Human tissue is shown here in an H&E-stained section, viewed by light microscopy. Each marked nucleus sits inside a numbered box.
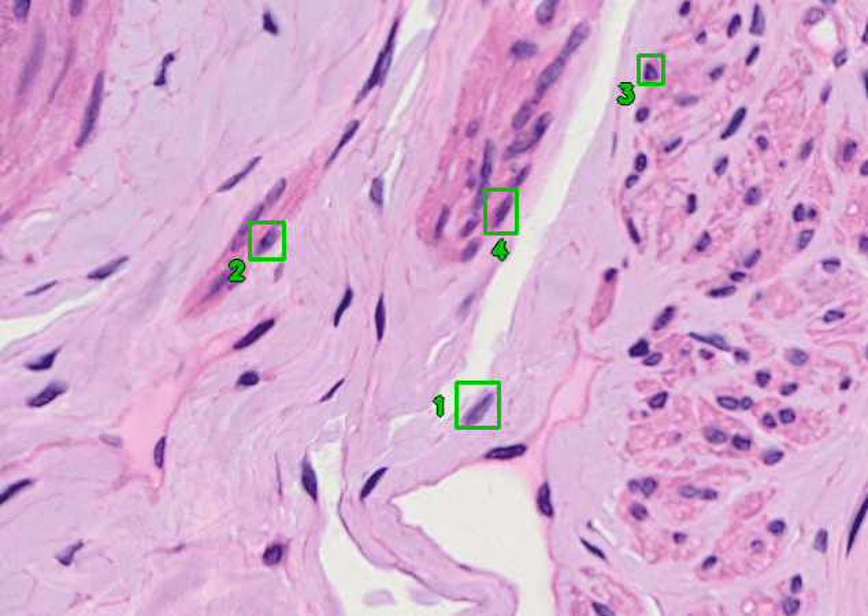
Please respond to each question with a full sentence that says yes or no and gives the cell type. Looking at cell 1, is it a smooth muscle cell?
No, cell 1, which is a fibroblast, is not a smooth muscle cell.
